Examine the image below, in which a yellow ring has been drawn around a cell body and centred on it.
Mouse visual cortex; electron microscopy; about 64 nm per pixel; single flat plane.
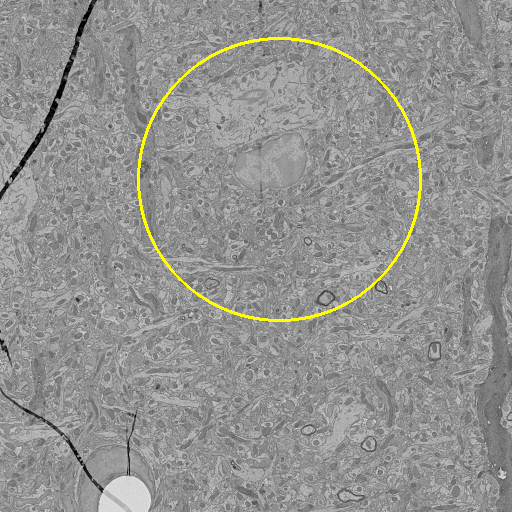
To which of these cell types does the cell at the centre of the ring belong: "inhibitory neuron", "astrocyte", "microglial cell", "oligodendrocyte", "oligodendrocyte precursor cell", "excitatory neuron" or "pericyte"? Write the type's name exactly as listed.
microglial cell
